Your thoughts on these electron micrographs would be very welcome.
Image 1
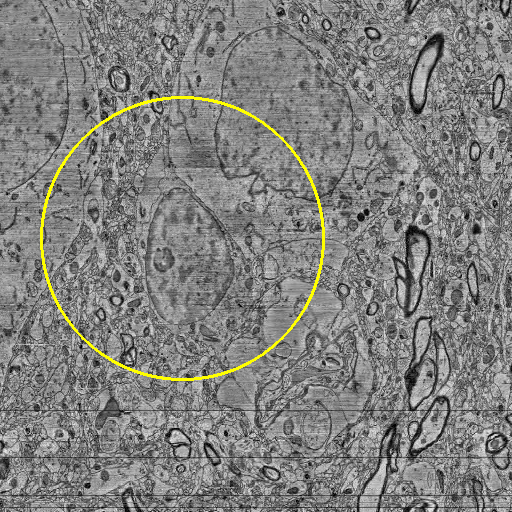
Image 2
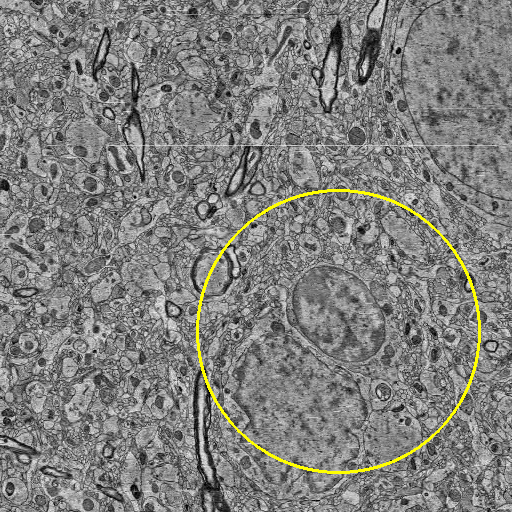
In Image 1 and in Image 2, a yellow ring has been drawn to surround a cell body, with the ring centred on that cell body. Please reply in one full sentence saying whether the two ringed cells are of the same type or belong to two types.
The ringed cells in Image 1 and Image 2 are of the same type.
